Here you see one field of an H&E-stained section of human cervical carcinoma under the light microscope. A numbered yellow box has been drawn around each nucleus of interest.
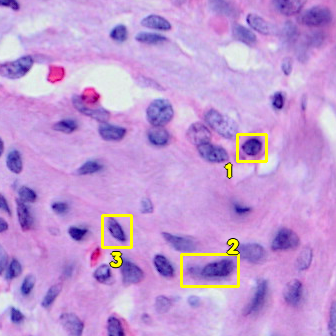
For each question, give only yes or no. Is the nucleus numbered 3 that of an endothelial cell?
no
